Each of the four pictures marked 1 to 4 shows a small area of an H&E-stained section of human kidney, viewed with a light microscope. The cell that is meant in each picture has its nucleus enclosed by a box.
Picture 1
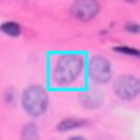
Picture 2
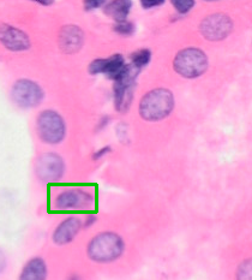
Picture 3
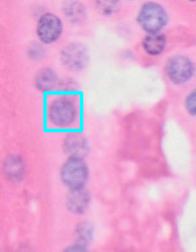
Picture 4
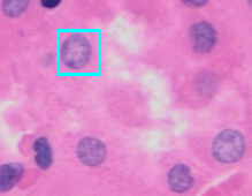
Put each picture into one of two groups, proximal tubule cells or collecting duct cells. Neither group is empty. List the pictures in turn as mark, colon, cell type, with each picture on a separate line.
1: collecting duct cell
2: collecting duct cell
3: collecting duct cell
4: proximal tubule cell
